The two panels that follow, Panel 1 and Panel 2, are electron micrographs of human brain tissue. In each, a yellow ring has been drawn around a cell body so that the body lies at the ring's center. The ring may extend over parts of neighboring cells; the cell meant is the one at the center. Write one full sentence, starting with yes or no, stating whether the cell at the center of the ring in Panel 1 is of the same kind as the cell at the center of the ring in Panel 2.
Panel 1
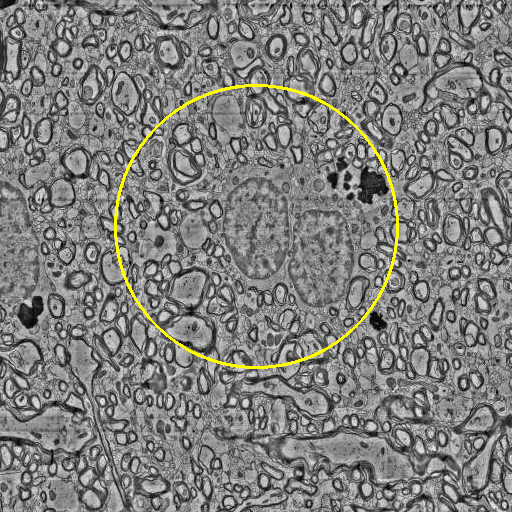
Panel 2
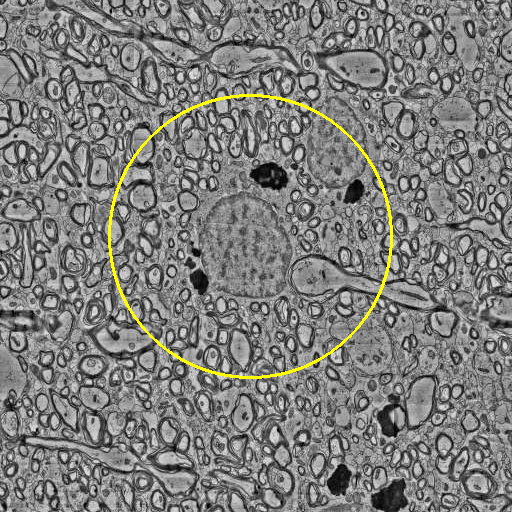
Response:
Yes, the cells in both panels are of the same kind.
